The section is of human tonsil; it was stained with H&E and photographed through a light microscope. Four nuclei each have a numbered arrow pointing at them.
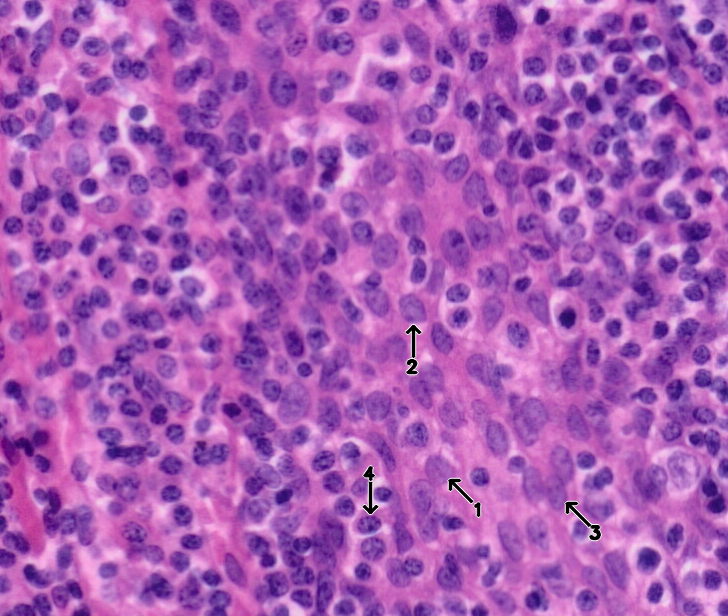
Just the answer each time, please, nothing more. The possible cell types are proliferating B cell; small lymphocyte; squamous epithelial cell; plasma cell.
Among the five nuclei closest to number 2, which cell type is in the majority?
squamous epithelial cell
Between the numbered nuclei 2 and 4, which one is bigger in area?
2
